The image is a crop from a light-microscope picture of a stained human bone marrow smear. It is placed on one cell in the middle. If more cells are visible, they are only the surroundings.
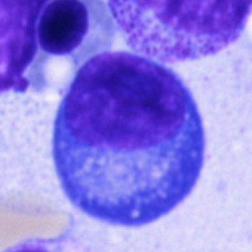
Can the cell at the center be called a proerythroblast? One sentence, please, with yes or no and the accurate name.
No, in the middle of the crop there is a plasma cell rather than a proerythroblast.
